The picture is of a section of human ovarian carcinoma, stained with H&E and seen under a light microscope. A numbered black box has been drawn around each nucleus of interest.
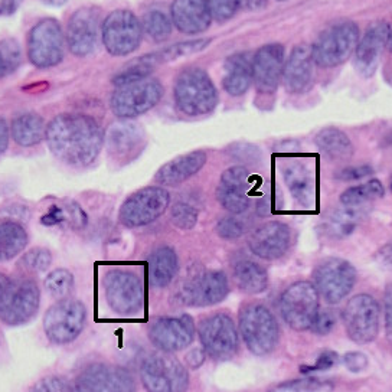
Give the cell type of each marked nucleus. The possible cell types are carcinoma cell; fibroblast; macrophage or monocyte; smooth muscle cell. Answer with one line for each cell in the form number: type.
1: carcinoma cell
2: macrophage or monocyte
